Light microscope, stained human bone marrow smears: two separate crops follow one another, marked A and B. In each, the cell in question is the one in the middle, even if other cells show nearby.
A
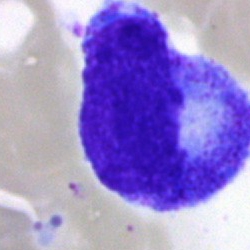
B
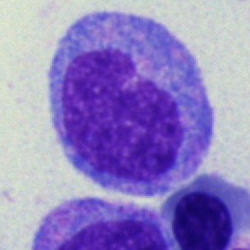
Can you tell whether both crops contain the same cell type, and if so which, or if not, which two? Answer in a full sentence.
Yes, the cells that the two crops centre on are promyelocytes.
